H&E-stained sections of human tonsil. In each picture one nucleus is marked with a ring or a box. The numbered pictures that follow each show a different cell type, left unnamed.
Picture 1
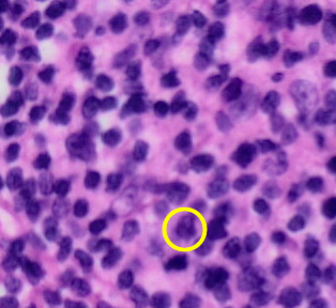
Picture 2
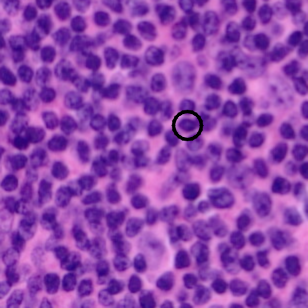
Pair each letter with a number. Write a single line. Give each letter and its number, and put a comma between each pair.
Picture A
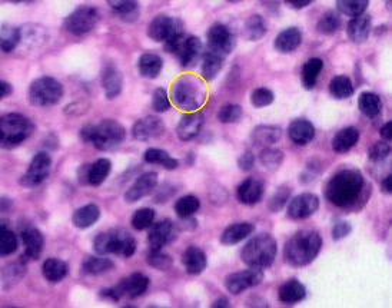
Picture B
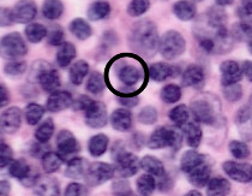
A 1, B 2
